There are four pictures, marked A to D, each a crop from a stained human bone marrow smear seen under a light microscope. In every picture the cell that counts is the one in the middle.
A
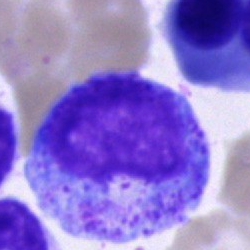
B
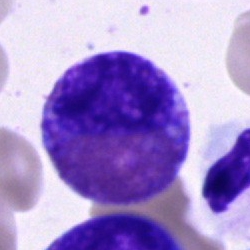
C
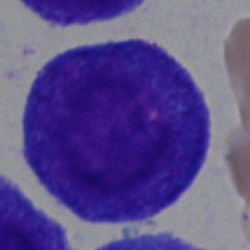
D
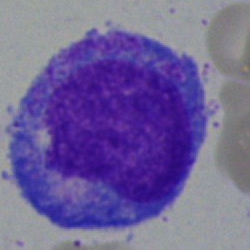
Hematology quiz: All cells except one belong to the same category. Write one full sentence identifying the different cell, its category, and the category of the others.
Unlike the other crops, all showing promyelocytes, crop B is an eosinophil.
